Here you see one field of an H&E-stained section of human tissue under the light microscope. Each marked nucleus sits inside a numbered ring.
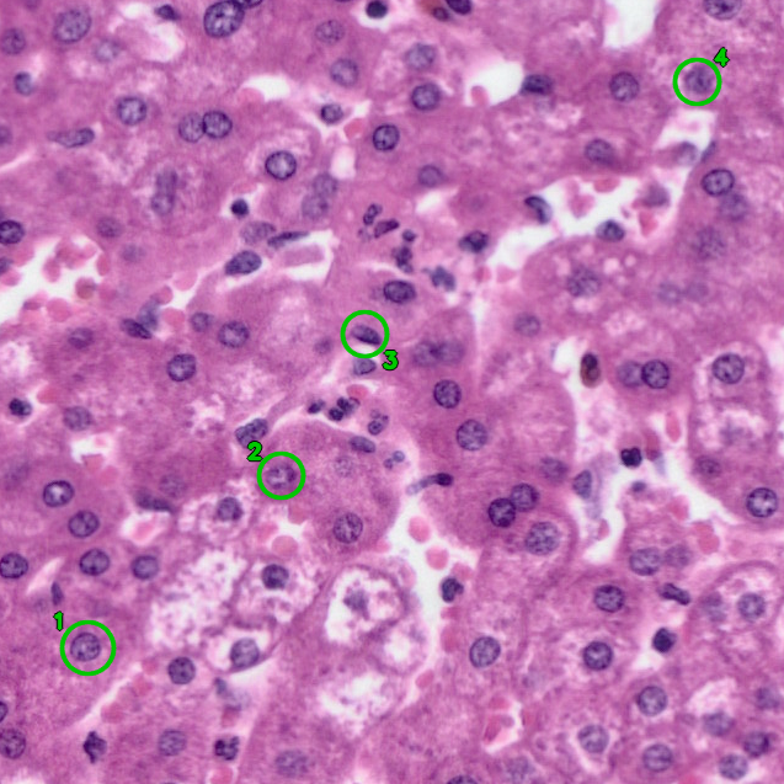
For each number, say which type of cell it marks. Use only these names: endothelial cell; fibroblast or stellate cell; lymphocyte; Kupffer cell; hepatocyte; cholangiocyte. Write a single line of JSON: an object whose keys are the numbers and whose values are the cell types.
{"1": "hepatocyte", "2": "hepatocyte", "3": "fibroblast or stellate cell", "4": "hepatocyte"}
